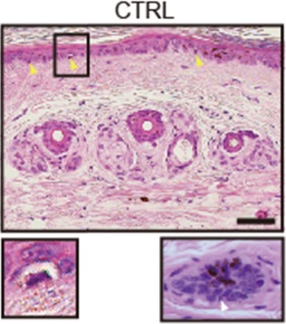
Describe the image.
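This is a section of skin stained pink and purple, with a thin layer of epidermis running along the top and the dermis beneath it. The epidermis is a stratified layer of purple-nucleated cells, and yellow arrowheads point to single cells sitting in its lower part, the melanocytes. Below, in the pale pink collagen of the dermis, a row of round cross-sections of hair follicles can be seen, each made of concentric rings of epithelial cells around a central opening, with paler lobules of cells beside them. The small close-up at lower left shows one such epidermal cell with a clear halo in the pink layer, and the close-up at lower right shows a cluster of purple cells of a hair follicle containing dark brown pigment granules.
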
